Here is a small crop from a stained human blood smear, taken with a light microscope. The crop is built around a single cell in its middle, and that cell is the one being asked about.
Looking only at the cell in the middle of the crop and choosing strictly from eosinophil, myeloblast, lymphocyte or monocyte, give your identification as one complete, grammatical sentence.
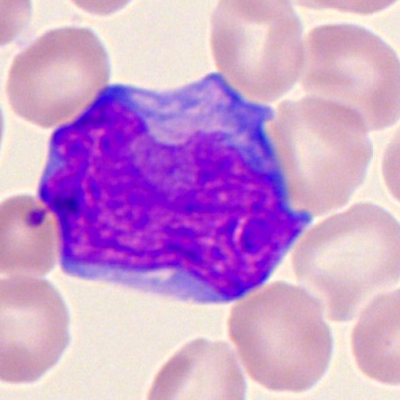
The cell nearest the centre of this crop is a myeloblast.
